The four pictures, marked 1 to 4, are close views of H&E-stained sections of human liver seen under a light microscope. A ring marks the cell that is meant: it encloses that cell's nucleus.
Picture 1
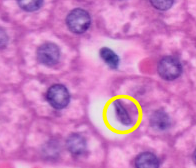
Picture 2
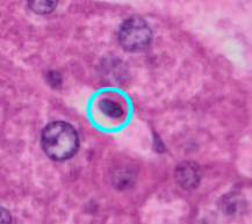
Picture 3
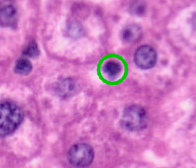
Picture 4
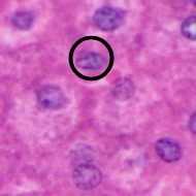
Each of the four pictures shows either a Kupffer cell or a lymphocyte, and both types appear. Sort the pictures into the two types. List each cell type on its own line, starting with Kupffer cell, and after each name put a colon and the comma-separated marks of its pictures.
Kupffer cell: 1, 4
lymphocyte: 2, 3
